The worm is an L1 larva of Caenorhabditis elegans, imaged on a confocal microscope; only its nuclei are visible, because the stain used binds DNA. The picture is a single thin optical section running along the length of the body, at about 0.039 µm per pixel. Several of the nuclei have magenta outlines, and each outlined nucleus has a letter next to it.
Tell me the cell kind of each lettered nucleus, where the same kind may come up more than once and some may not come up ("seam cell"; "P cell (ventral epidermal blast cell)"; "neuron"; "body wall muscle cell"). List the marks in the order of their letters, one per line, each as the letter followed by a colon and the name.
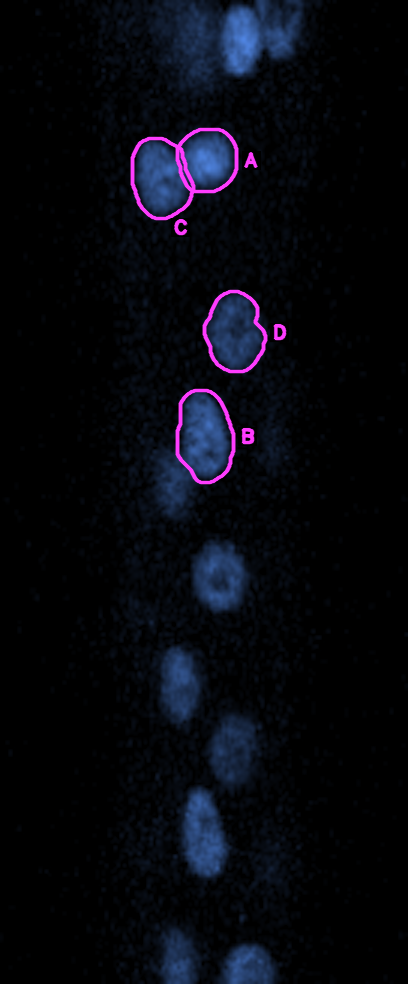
A: neuron
B: P cell (ventral epidermal blast cell)
C: body wall muscle cell
D: seam cell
